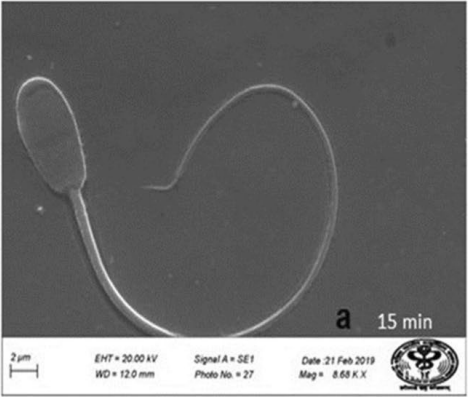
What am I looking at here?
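A single spermatozoon seen whole in surface view, with a flattened oval head at one end and a long slender tail. Just behind the head the tail is slightly thicker, forming the middle piece, and then narrows and curves round in a wide loop to a fine tip. The head and tail surfaces look smooth and continuous.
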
